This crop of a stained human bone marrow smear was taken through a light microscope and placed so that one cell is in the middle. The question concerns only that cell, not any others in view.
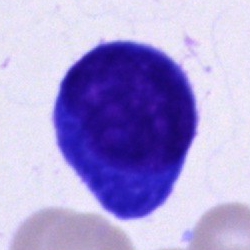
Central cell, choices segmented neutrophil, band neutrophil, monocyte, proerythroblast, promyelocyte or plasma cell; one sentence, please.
Present in the middle of the crop is a plasma cell.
